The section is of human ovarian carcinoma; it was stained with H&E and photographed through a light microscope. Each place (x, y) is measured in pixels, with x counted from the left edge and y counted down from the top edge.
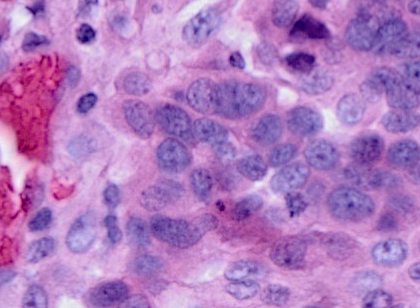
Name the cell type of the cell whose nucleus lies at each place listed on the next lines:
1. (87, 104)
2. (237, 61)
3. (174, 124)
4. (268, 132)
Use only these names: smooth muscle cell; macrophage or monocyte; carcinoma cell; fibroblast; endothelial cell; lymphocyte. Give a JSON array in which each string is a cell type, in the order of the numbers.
["lymphocyte", "lymphocyte", "carcinoma cell", "carcinoma cell"]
